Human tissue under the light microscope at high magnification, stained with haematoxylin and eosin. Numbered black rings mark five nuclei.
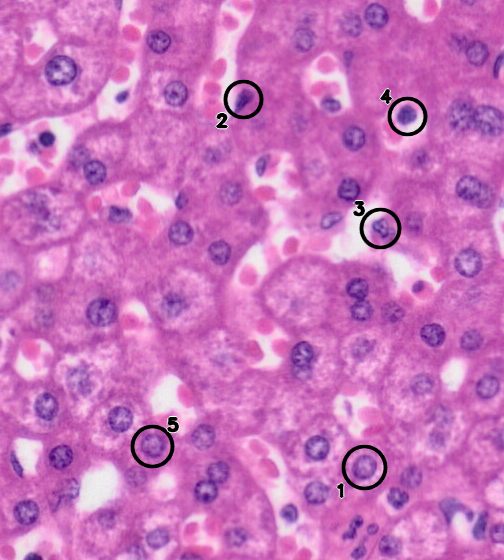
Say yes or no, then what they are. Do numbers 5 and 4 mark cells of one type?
No, cell 5 is categorized as a hepatocyte, while cell 4 is categorized as a lymphocyte.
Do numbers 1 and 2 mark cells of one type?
No, cell 1 is identified as a hepatocyte, and cell 2 is identified as a fibroblast or stellate cell.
